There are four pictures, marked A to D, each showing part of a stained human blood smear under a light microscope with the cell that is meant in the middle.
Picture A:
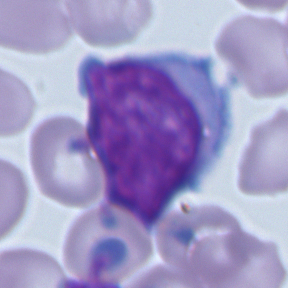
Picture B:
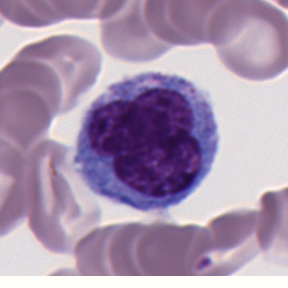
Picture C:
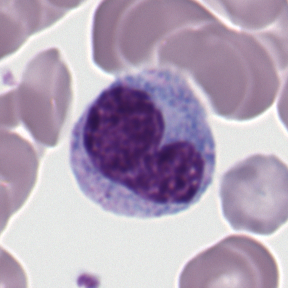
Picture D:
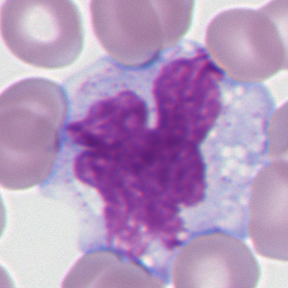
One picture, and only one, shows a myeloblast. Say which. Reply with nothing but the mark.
A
